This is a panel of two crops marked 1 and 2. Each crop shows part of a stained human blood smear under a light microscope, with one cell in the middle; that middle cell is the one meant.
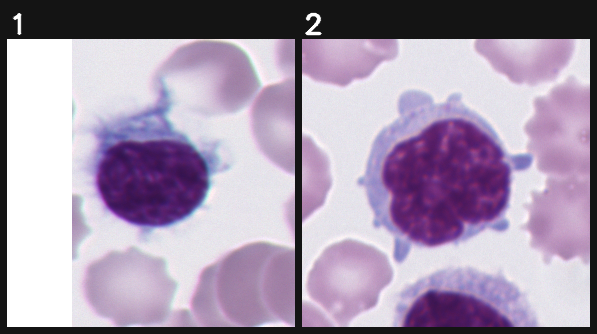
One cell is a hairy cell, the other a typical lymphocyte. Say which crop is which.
1: hairy cell
2: typical lymphocyte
